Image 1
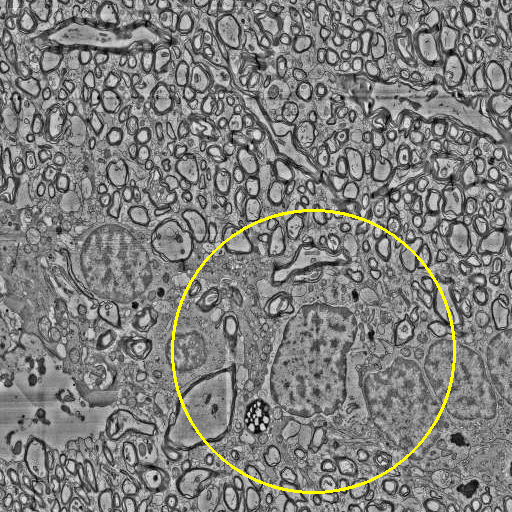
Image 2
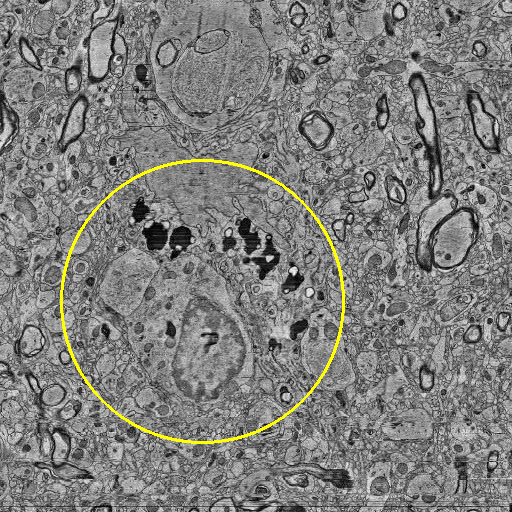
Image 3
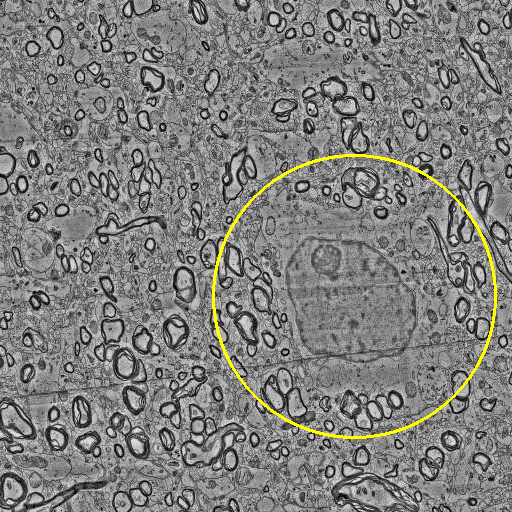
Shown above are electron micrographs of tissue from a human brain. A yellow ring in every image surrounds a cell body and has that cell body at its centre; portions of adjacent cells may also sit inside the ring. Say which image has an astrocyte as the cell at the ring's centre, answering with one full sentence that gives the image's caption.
The image whose ring is centred on the requested cell is Image 3.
